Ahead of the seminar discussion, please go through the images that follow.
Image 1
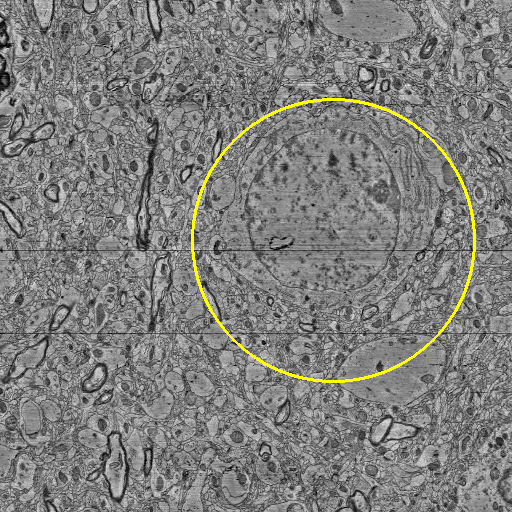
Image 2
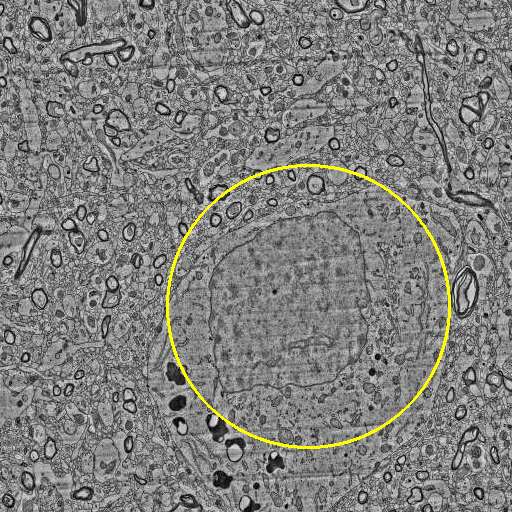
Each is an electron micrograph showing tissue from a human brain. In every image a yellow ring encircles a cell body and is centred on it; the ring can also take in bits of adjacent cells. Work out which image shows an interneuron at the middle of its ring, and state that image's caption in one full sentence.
In Image 1, the ring's centre holds the cell you are looking for.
